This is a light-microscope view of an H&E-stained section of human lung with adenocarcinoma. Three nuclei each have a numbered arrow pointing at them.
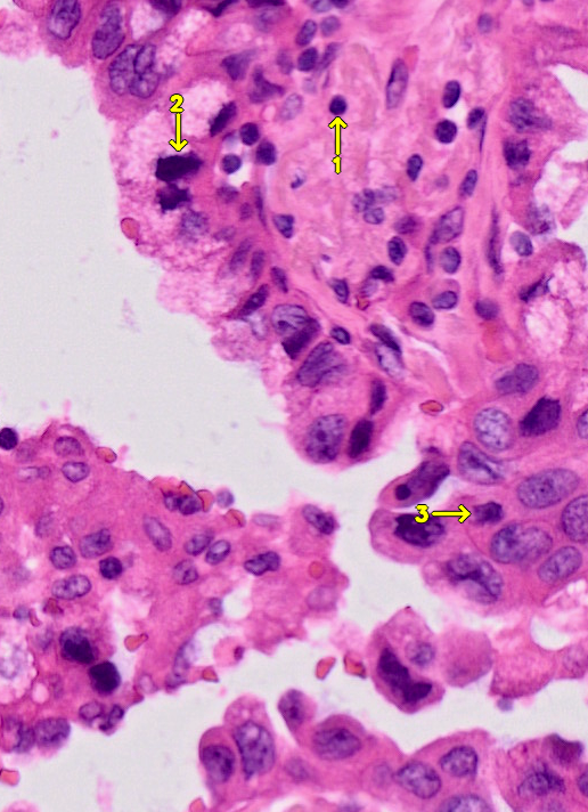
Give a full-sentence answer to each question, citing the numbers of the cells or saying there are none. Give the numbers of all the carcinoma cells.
Cells 2 and 3 are classified as carcinoma cells.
